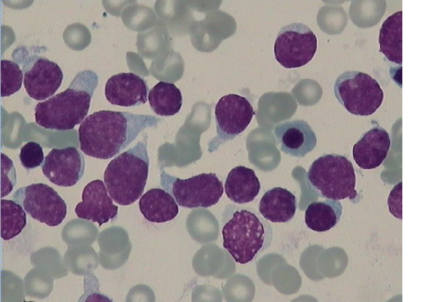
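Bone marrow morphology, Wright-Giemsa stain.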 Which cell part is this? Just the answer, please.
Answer: Pseudopodia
